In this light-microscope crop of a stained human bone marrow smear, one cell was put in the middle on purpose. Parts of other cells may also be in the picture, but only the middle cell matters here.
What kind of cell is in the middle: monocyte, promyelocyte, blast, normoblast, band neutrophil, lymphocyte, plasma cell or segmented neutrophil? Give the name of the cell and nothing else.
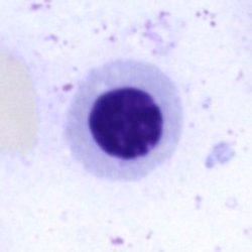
normoblast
